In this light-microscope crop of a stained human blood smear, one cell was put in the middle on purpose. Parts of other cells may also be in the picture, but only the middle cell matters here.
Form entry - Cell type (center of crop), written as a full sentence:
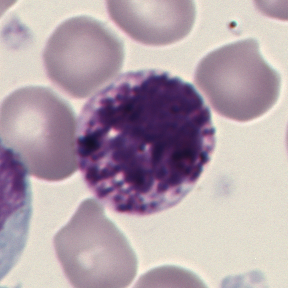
The cell in the exact centre of the crop is a basophil.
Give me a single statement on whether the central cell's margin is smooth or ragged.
Nothing juts out from the margin, which is smooth throughout.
